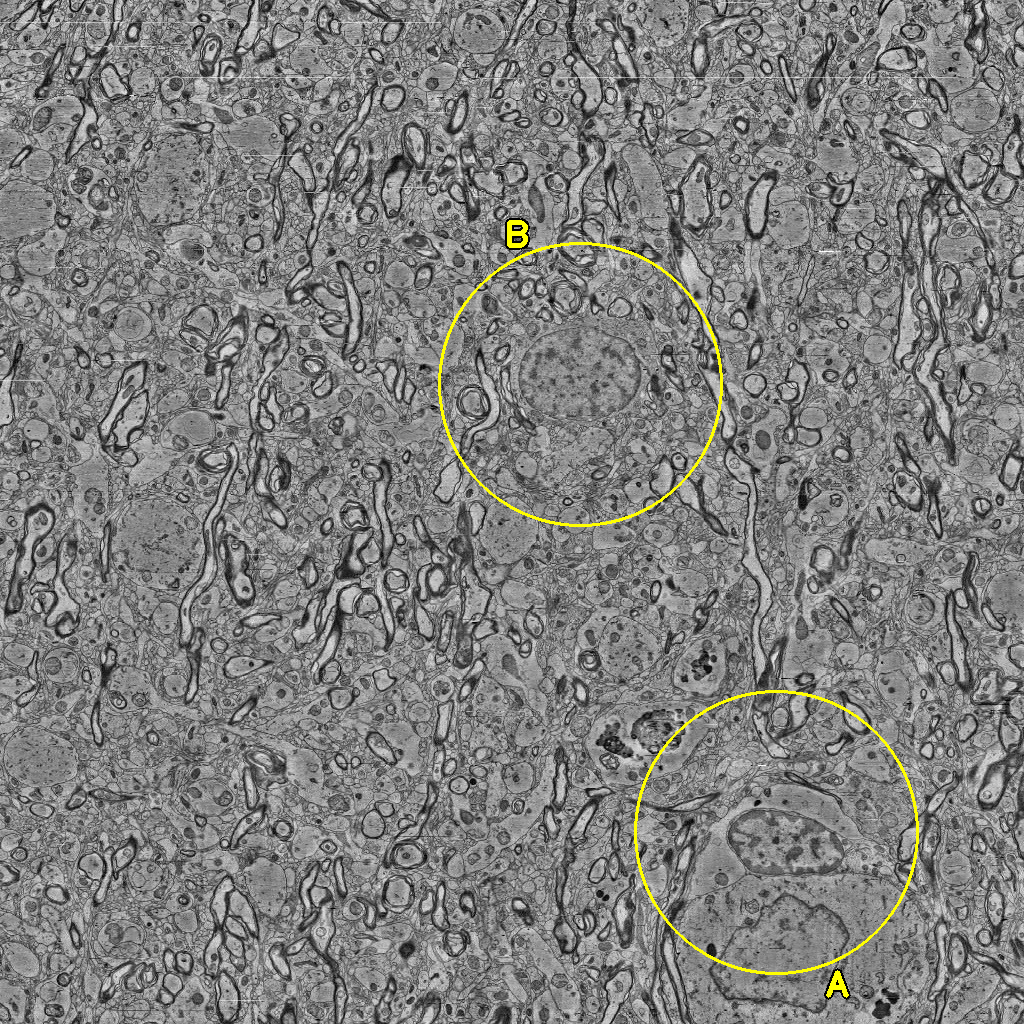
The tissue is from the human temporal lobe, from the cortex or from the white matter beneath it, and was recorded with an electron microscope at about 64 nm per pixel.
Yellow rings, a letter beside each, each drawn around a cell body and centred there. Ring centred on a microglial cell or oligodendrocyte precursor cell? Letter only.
A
